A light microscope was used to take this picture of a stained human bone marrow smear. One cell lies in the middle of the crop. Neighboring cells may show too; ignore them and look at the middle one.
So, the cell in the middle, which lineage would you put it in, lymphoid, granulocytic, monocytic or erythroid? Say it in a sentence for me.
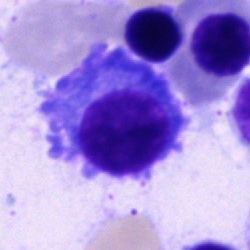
Lineage of the cell at the center of this crop: lymphoid.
